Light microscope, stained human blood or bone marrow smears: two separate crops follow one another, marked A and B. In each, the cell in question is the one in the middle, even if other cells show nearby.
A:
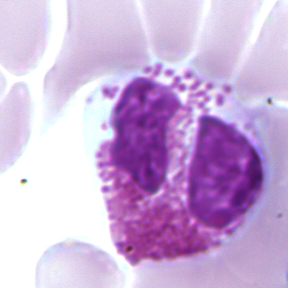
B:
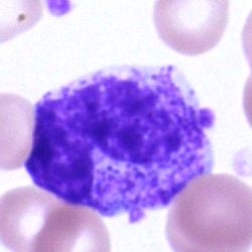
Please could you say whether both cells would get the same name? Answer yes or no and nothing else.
no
